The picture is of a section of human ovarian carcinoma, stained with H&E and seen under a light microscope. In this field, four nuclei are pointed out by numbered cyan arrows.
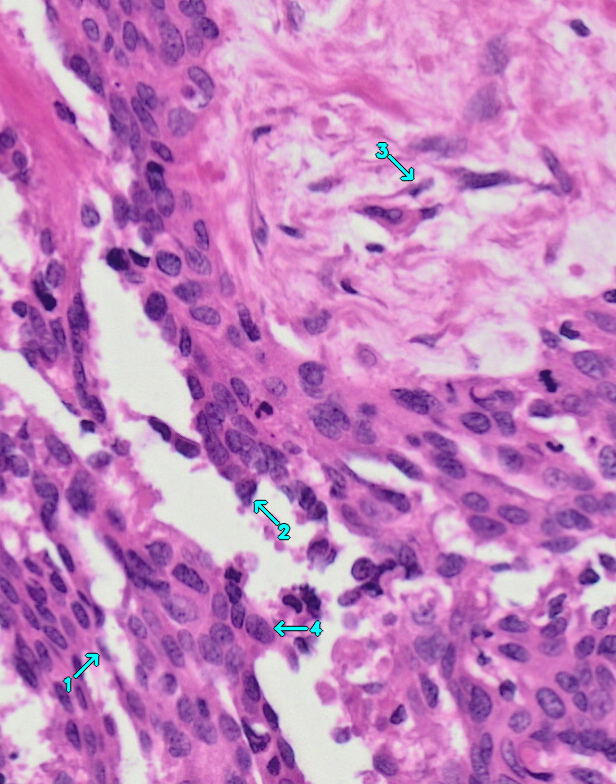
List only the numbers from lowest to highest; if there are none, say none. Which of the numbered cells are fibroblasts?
3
